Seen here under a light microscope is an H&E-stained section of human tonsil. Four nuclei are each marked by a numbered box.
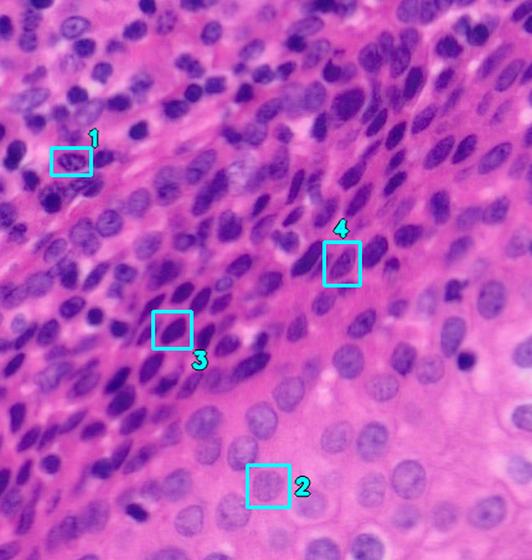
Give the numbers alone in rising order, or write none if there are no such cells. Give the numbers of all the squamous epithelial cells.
2, 3, 4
